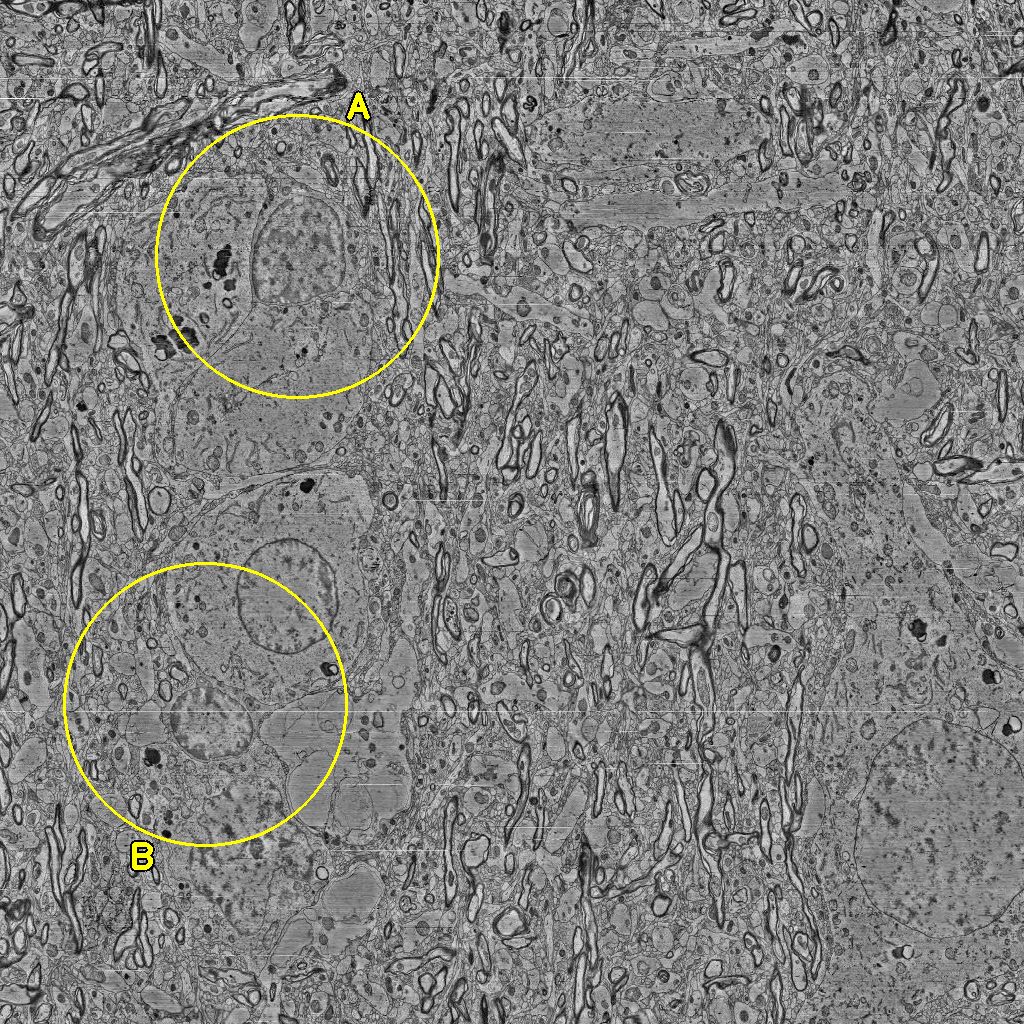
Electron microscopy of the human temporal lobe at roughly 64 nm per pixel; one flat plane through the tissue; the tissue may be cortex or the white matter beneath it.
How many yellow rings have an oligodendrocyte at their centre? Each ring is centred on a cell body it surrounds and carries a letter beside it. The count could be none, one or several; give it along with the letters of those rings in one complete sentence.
One finds two rings centred on an oligodendrocyte apiece, labelled with the letters A and B.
